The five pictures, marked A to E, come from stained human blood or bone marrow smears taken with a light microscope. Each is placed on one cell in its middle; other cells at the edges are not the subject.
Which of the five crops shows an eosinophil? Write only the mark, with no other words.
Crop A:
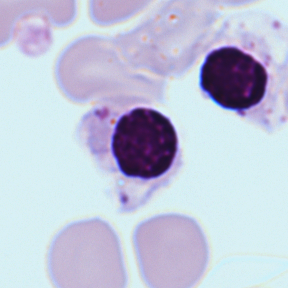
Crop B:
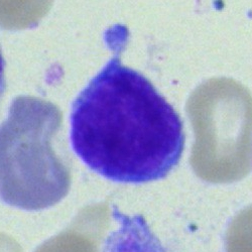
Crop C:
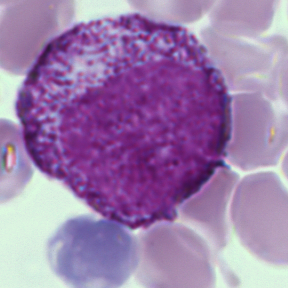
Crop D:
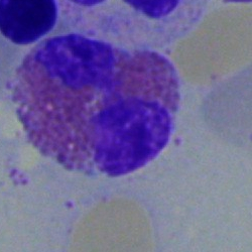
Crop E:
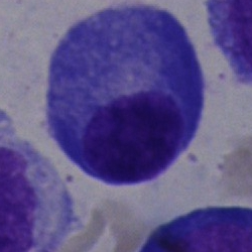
D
